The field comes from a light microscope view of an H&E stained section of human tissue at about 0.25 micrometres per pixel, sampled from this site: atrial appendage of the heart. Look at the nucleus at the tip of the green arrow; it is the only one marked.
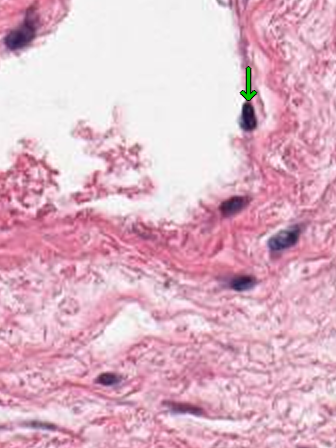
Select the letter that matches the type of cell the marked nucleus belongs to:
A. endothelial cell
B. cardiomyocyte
A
